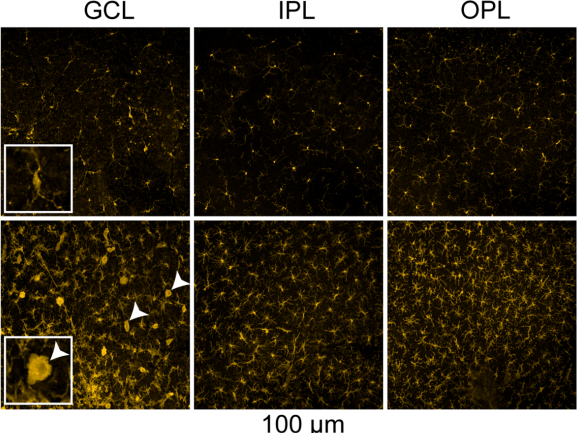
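In the top row they are sparse and evenly spaced, each with a small cell body and long, thin, branching processes. In the bottom row the yellow cells are more crowded in every layer, and in the leftmost image many are rounded, amoeboid cells with bright, plump bodies and few processes.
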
